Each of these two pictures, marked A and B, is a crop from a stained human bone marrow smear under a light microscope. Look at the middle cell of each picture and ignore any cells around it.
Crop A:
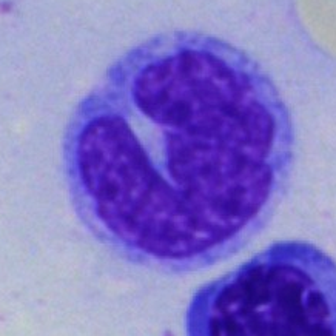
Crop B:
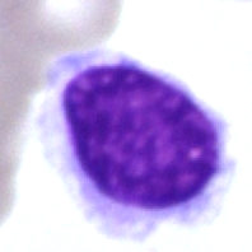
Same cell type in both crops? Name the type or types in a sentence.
No, look again: crop A shows a monocyte, and crop B shows a hairy cell.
